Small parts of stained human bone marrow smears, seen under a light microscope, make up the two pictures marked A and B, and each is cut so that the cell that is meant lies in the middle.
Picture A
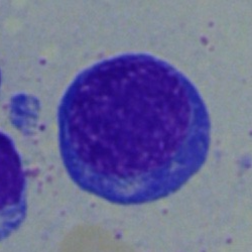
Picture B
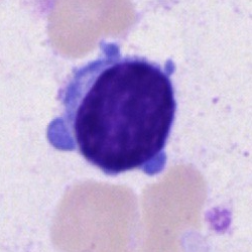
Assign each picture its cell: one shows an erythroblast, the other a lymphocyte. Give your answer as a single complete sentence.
Picture B shows a lymphocyte, while picture A shows an erythroblast.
